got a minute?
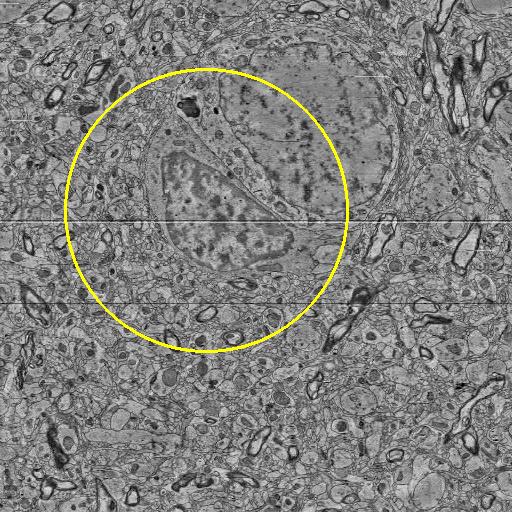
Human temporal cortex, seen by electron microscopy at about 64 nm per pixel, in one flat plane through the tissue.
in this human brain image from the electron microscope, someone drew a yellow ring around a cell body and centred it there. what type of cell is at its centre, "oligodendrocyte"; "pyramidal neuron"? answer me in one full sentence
It's an oligodendrocyte at the middle of that yellow ring in the shot.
